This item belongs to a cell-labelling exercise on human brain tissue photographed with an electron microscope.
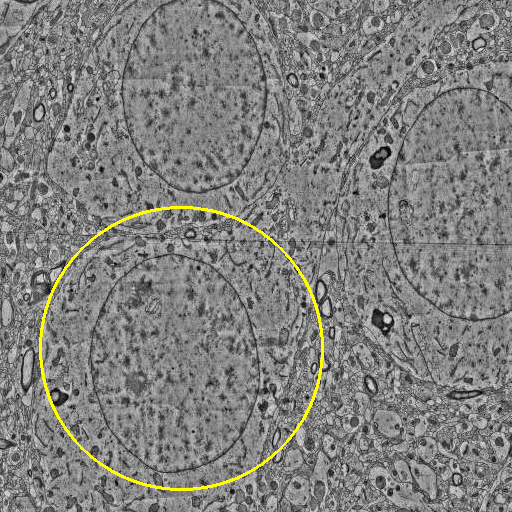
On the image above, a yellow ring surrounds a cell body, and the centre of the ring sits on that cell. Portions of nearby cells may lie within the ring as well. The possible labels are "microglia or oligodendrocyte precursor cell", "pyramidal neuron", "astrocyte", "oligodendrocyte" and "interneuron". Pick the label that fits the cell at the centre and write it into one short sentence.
This cell should be labelled as a pyramidal neuron.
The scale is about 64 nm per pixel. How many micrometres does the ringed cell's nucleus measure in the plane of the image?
Roughly 14 by 11 micrometres is the size of the nucleus in this plane.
